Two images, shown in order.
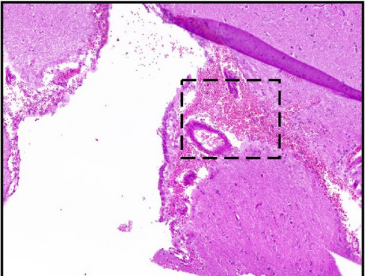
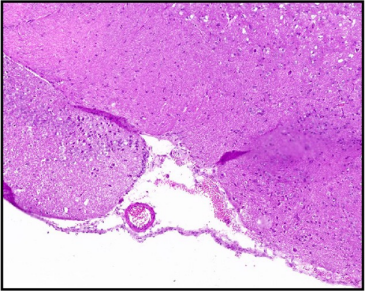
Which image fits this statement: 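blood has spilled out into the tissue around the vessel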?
The first image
